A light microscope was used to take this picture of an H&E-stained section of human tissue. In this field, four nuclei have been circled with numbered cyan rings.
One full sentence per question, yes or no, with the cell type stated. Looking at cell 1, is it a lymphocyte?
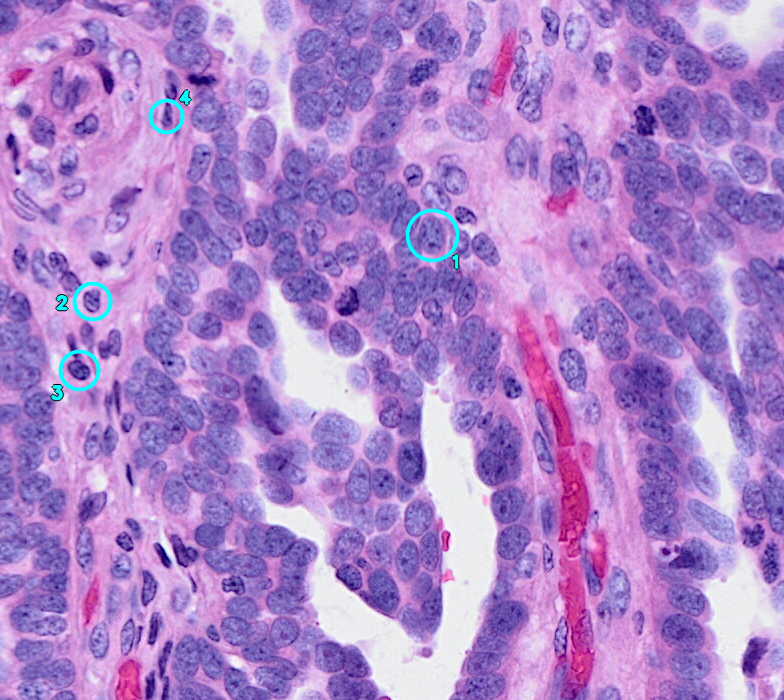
No, number 1 is not a lymphocyte but a carcinoma cell.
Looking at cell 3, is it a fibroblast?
No, the cell denoted 3 is a lymphocyte rather than a fibroblast.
